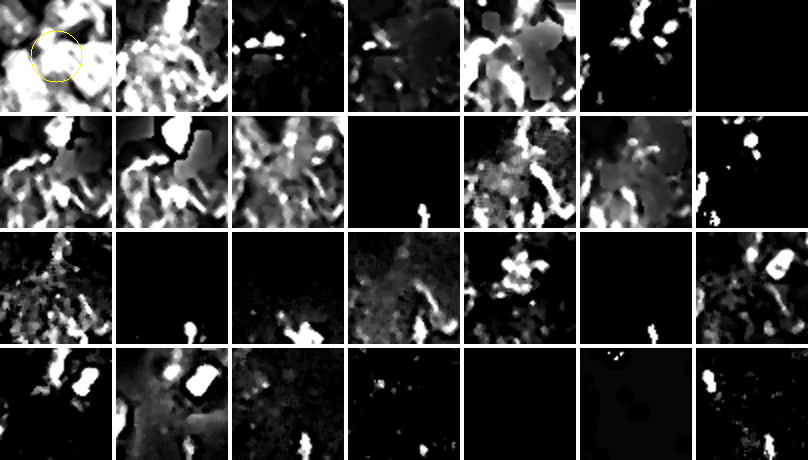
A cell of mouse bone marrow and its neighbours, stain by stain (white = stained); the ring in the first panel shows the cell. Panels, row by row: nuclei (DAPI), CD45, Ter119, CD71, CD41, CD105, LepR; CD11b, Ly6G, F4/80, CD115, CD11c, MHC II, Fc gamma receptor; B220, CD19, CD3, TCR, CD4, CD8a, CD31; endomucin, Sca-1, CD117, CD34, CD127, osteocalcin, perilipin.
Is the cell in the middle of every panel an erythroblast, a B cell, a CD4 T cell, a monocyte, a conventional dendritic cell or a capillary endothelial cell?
It is a conventional dendritic cell.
